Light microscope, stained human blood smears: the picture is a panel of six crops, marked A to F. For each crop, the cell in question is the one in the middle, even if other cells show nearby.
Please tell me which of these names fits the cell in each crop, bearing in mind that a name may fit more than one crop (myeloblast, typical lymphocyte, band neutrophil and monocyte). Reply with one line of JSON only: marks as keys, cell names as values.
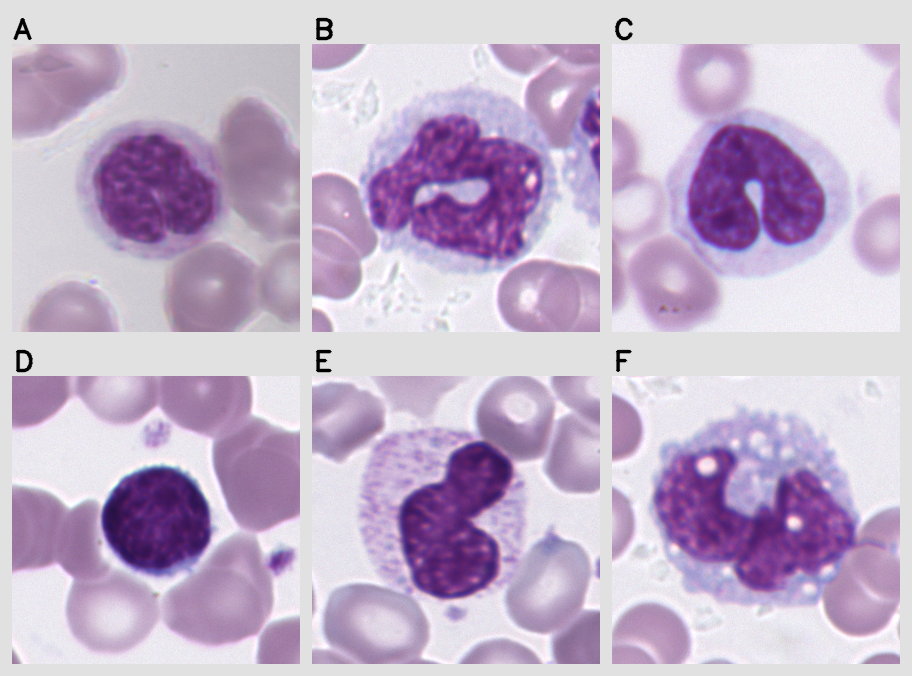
{"A": "band neutrophil", "B": "monocyte", "C": "band neutrophil", "D": "typical lymphocyte", "E": "band neutrophil", "F": "monocyte"}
